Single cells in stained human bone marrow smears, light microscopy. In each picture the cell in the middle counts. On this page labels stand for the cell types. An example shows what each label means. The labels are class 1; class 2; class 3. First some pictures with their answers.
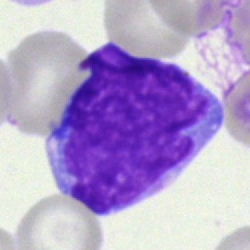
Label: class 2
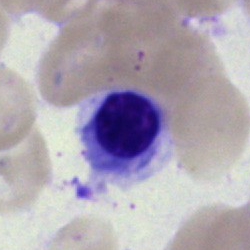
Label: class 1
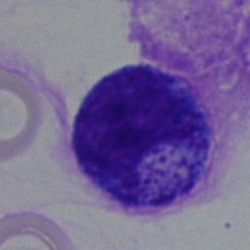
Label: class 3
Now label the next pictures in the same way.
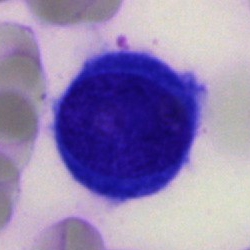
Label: class 2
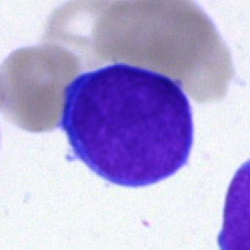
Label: class 2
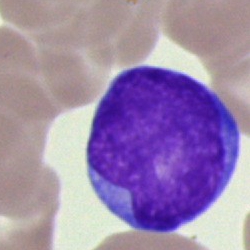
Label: class 2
